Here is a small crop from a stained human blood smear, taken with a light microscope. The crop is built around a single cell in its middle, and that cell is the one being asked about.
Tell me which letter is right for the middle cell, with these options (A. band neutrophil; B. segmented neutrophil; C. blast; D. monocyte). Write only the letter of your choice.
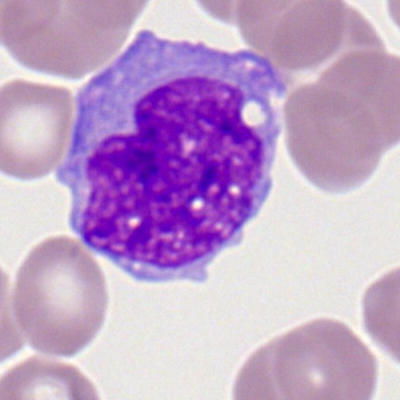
D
